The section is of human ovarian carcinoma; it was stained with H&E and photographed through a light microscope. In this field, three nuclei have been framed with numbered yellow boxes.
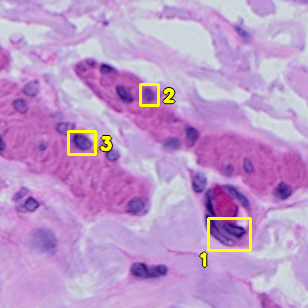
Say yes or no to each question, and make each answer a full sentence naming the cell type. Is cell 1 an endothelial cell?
Yes, within this section, cell number 1 is an endothelial cell.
